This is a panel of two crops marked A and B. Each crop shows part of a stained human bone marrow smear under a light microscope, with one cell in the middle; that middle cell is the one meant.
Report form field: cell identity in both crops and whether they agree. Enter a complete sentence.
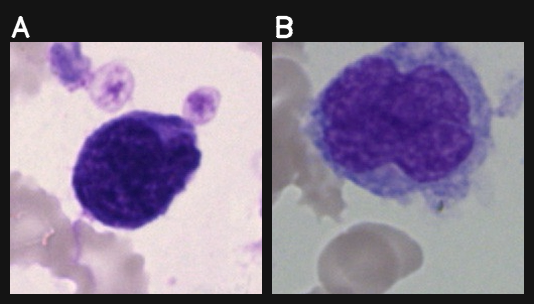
No, a monocyte is the cell in crop B, and crop A contains a blast.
